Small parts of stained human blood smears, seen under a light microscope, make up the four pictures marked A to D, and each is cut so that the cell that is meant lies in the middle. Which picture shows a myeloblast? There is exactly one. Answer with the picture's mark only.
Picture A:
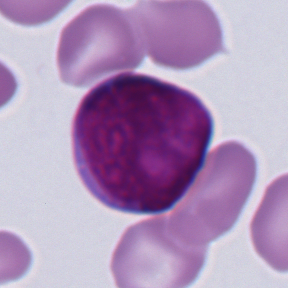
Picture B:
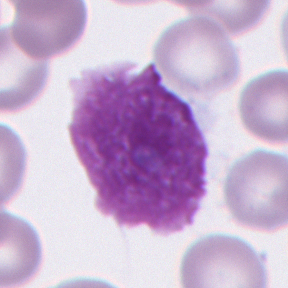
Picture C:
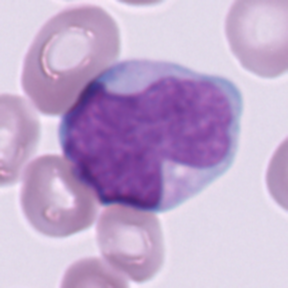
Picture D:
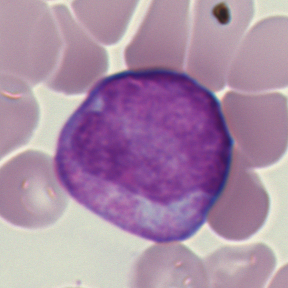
A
